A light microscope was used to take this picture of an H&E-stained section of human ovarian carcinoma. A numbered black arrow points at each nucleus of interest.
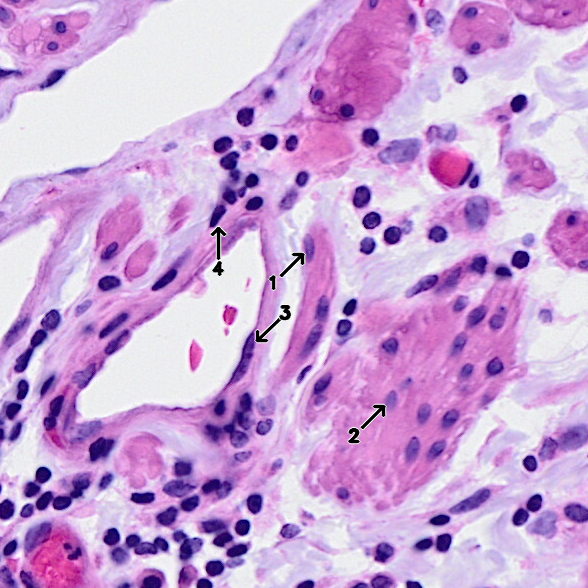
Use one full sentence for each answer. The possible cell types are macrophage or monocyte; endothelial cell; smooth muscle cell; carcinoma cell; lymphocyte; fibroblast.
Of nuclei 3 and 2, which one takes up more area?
Nucleus 3 covers more area, about 3 times as much as nucleus 2.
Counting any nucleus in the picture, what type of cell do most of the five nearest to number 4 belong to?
Lymphocytes account for more than half of the five nuclei nearest to number 4.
